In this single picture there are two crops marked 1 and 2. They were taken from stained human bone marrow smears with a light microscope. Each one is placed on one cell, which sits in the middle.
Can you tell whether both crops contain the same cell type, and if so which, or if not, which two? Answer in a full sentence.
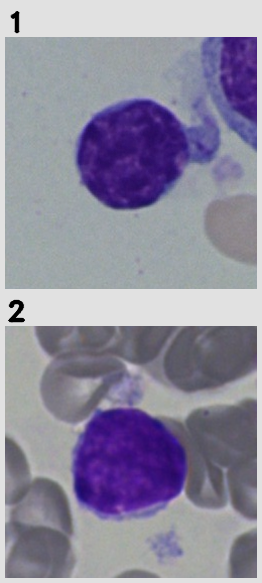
Yes, the central cells, in both crops, are lymphocytes.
